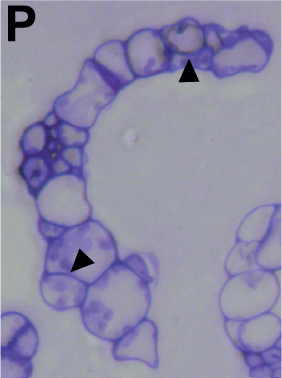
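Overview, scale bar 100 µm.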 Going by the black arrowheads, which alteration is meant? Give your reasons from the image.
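Black arrowheads point to cell walls inside the row of cells. Walls at the arrowheads run at an angle or parallel to the surface rather than across the cell row.
Conclusion: oblique and periclinal divisions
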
